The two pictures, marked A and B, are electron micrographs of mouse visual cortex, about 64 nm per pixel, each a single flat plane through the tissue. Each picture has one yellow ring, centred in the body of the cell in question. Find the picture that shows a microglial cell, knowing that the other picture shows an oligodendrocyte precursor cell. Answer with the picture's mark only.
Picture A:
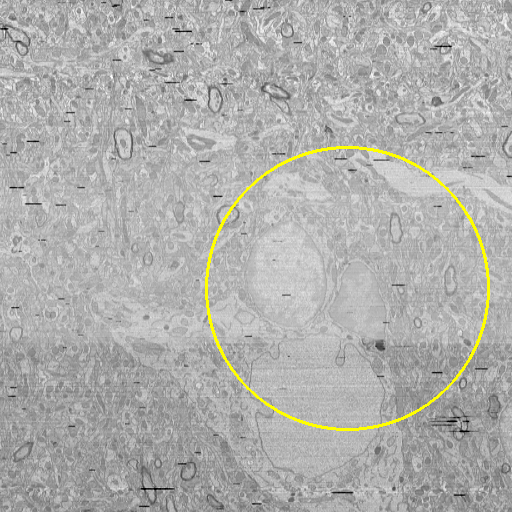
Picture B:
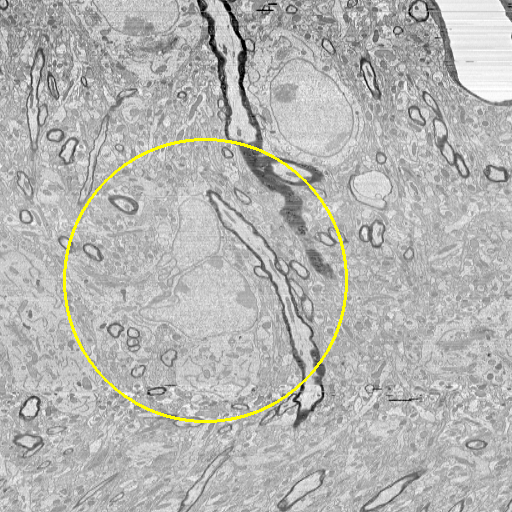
A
